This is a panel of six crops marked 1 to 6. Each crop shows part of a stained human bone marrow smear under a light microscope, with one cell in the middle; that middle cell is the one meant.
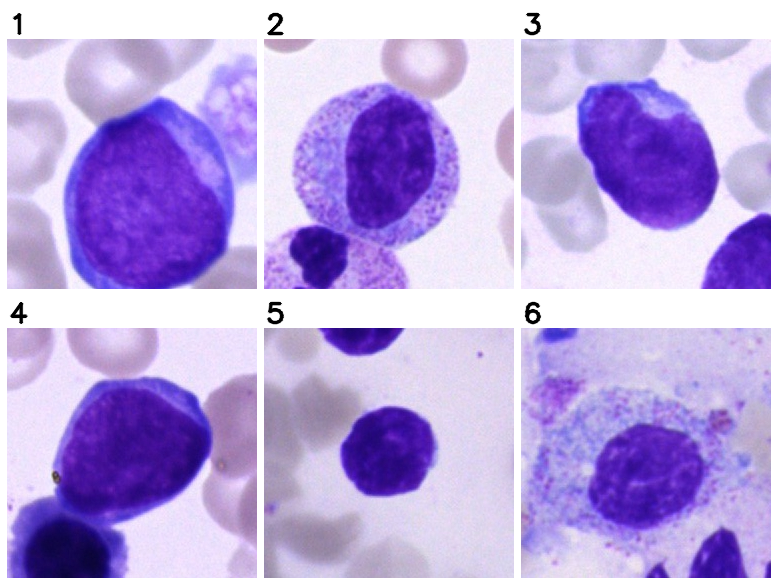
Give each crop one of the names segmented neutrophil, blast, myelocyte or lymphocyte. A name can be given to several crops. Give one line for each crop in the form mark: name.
1: blast
2: myelocyte
3: blast
4: blast
5: lymphocyte
6: myelocyte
